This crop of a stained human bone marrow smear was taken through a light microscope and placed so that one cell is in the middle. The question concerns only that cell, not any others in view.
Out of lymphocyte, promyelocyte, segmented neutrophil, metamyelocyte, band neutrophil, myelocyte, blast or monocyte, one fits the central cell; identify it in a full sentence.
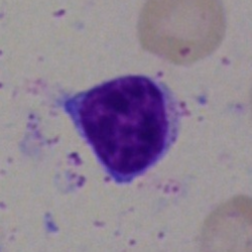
The cell shown in the center of this light-microscope crop is a lymphocyte.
